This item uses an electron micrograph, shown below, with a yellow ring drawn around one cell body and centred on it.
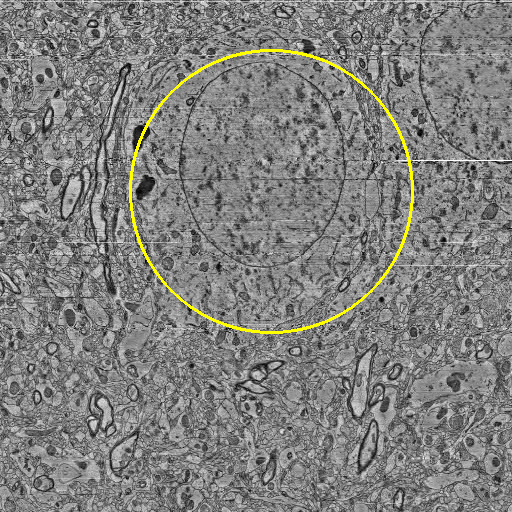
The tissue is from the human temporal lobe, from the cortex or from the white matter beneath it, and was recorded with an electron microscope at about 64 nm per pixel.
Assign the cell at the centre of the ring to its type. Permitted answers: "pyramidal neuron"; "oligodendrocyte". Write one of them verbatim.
pyramidal neuron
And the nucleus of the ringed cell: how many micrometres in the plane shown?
In this plane the nucleus spans approximately 14 by 11 micrometers.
